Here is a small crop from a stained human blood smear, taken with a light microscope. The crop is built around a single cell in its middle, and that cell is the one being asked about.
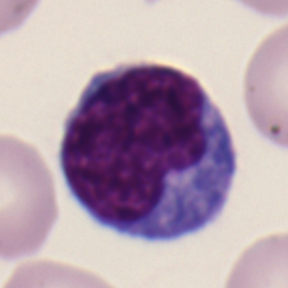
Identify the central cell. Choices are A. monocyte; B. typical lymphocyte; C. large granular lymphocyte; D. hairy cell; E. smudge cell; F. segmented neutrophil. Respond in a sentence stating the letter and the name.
The middle of the crop contains a typical lymphocyte, so option B is right.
